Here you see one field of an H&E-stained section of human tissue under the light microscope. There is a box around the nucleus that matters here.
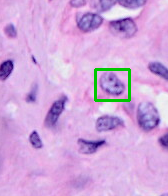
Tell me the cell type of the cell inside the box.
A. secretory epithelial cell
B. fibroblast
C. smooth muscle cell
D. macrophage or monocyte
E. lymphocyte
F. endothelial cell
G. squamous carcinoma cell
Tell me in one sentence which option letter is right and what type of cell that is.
The correct pick is option F; the cell inside the box is an endothelial cell.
